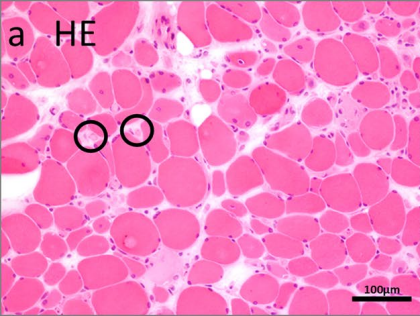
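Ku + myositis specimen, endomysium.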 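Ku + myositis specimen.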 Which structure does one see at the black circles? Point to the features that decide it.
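The circles enclose small round profiles between adjacent muscle fibers. The profiles lie in the thin spaces between fibers.
Conclusion: thickened or enlarged capillaries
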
